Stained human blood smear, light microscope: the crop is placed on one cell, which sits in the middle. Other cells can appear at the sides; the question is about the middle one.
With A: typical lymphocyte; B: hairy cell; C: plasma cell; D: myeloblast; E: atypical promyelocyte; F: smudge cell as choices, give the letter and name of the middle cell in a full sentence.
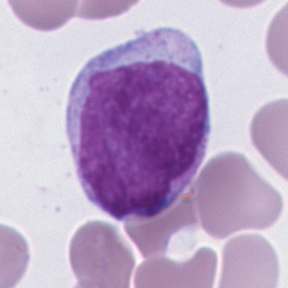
Well, the cell in the middle is an atypical promyelocyte, making option E right.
